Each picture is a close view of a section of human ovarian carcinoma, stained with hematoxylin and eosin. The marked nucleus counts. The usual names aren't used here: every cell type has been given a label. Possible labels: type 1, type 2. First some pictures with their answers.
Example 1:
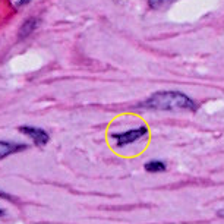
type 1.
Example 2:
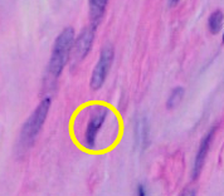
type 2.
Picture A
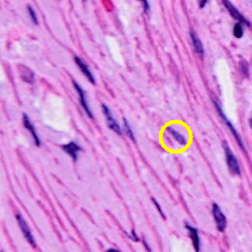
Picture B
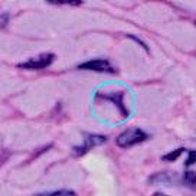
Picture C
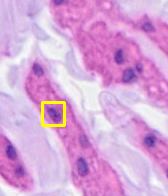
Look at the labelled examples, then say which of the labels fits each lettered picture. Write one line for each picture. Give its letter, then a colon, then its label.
A: type 1.
B: type 1.
C: type 2.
